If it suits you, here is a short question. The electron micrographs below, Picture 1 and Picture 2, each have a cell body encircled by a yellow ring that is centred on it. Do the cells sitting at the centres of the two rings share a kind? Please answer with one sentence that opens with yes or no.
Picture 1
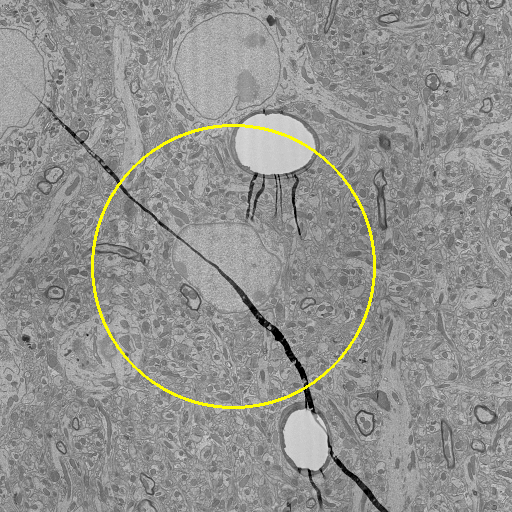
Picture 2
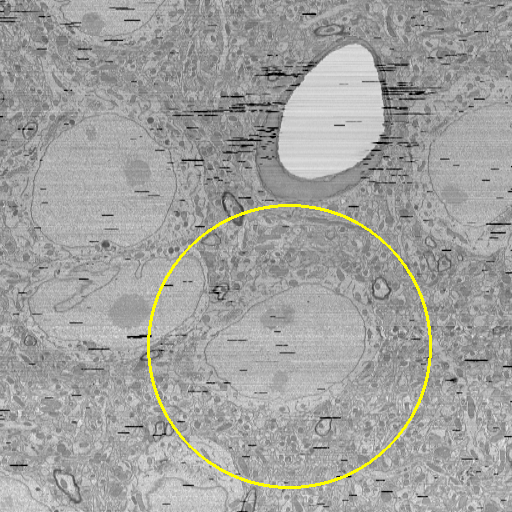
No, the two cells sitting at the ring centres fall into two kinds.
